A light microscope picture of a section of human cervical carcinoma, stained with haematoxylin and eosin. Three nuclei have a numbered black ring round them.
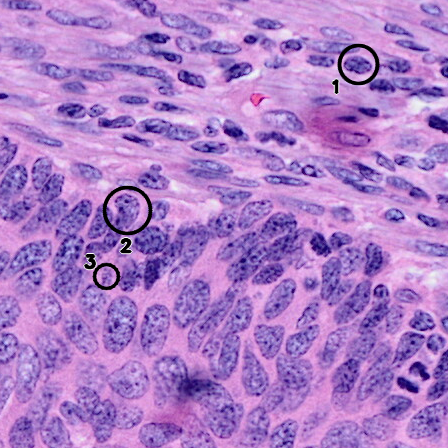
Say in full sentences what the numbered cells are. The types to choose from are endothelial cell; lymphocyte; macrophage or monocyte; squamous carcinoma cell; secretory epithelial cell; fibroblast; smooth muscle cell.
Cell 1 is a lymphocyte, cell 2 is a squamous carcinoma cell and cell 3 is a squamous carcinoma cell.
